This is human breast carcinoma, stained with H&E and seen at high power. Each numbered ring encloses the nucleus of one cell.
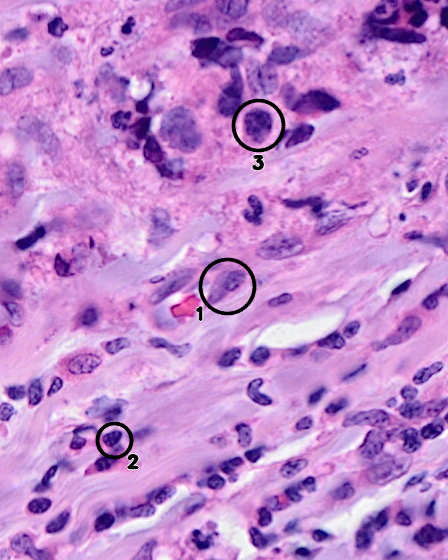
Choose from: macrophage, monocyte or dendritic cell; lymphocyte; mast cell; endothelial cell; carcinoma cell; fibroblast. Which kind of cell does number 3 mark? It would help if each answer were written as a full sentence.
The nucleus labelled 3 belongs to a carcinoma cell.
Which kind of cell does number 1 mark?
The correct label for cell 1 is an endothelial cell.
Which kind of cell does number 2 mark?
Nucleus 2 in this section belongs to a lymphocyte.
